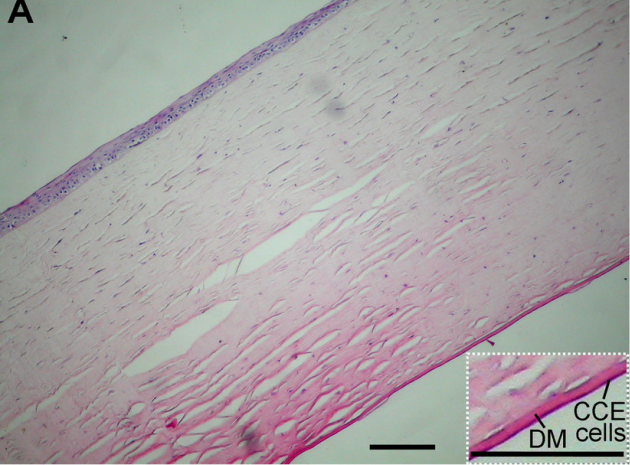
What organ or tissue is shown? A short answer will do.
Corneas.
